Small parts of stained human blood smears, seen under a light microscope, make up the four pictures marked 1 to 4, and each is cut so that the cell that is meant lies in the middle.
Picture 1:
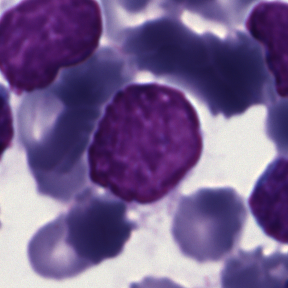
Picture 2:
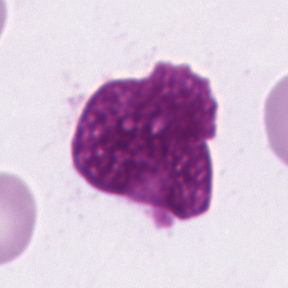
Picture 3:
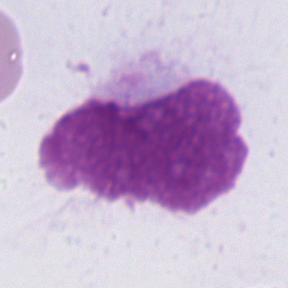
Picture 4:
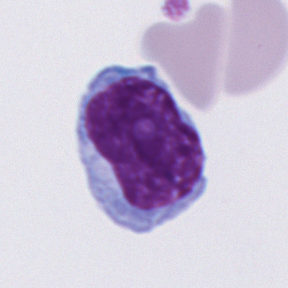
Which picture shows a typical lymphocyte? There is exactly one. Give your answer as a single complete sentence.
It is picture 4 that shows the typical lymphocyte.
